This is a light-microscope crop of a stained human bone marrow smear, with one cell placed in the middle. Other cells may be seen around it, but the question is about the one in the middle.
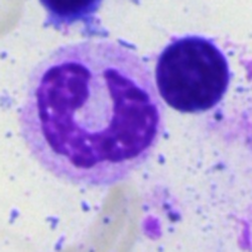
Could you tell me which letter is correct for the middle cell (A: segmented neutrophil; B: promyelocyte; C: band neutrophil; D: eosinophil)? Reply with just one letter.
C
